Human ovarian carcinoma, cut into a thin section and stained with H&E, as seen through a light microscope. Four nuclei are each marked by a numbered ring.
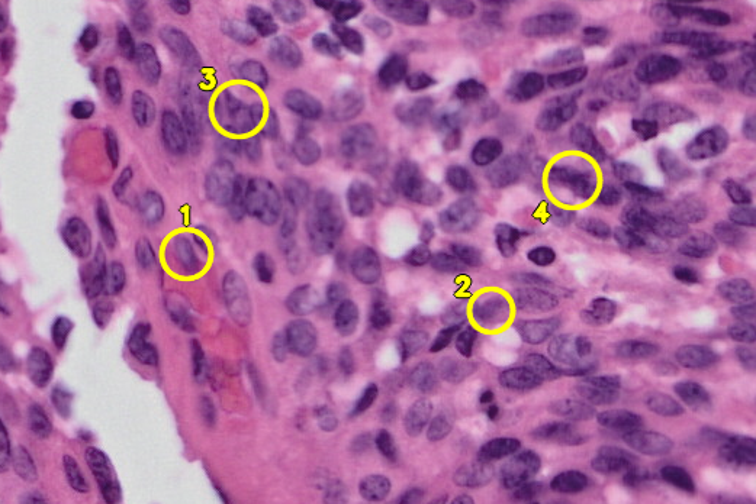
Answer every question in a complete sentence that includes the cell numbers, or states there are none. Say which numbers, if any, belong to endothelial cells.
Cell number 1 alone is an endothelial cell; the rest are not.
